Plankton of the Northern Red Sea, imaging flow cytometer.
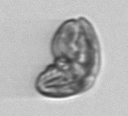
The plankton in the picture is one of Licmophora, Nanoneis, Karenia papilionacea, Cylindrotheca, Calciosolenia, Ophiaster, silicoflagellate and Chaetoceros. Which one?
Karenia papilionacea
